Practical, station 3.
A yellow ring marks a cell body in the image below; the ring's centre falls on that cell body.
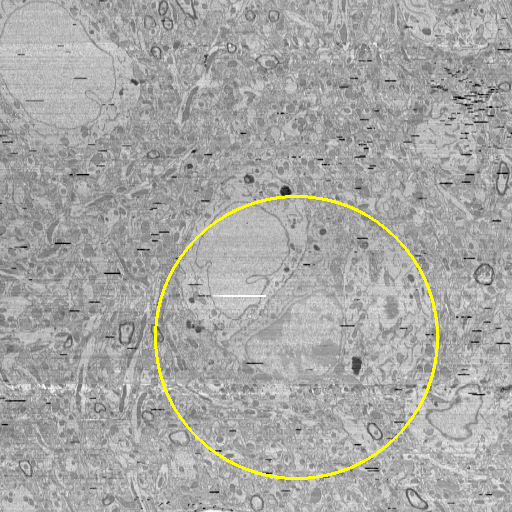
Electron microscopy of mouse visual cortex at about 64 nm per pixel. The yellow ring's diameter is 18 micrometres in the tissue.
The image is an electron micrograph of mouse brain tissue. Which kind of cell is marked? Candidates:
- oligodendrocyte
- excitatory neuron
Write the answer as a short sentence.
The marked cell body is that of an oligodendrocyte.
